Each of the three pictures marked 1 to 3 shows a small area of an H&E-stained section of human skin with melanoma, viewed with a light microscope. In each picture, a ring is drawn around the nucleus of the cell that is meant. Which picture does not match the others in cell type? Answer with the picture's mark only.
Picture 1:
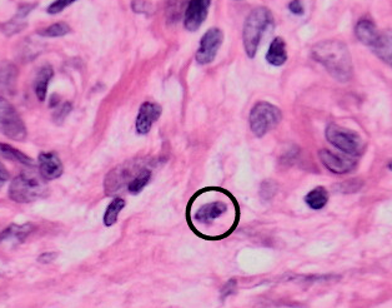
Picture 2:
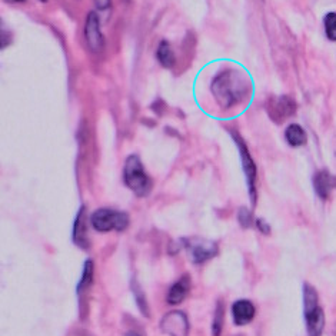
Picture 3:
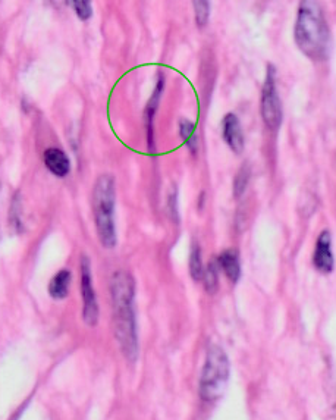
1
